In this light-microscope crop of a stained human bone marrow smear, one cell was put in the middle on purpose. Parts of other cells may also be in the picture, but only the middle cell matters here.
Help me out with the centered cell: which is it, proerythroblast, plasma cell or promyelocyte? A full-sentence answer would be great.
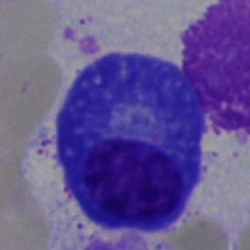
Present in the middle of the crop is a plasma cell.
